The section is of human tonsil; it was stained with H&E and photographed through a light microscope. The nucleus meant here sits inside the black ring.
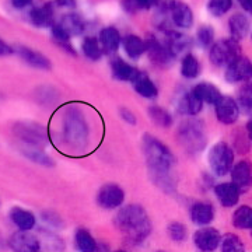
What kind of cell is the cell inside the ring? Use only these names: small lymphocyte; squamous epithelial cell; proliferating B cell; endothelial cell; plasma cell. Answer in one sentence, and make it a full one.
Considered by cell type, the cell inside the ring is an endothelial cell.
